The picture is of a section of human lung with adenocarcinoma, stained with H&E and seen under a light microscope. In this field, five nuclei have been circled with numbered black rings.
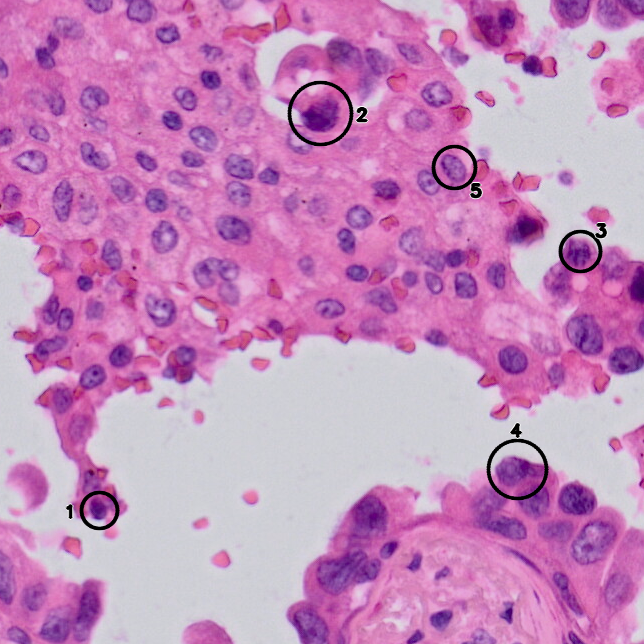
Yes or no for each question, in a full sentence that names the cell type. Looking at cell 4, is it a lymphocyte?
No, number 4 corresponds to a carcinoma cell, not a lymphocyte.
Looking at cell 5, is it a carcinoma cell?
No, the cell given number 5 is a macrophage or monocyte, not a carcinoma cell.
